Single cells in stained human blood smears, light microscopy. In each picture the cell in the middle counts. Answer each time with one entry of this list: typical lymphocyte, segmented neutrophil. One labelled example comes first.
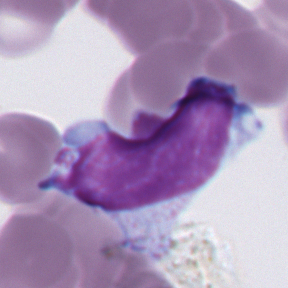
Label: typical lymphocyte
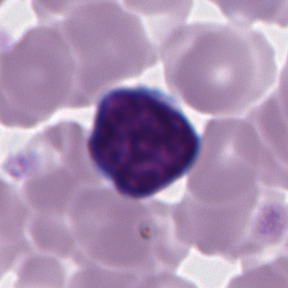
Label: typical lymphocyte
